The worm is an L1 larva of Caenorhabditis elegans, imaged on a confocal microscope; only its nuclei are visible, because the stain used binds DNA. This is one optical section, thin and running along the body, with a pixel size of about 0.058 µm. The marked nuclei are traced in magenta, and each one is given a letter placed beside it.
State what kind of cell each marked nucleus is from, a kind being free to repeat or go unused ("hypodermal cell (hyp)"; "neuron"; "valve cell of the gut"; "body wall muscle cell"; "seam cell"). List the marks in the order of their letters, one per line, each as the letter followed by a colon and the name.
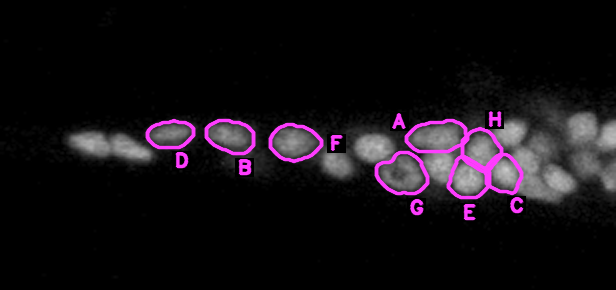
A: body wall muscle cell
B: hypodermal cell (hyp)
C: neuron
D: hypodermal cell (hyp)
E: neuron
F: hypodermal cell (hyp)
G: seam cell
H: neuron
